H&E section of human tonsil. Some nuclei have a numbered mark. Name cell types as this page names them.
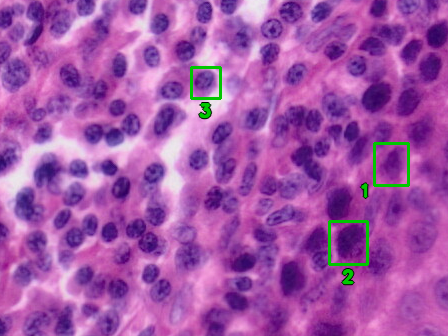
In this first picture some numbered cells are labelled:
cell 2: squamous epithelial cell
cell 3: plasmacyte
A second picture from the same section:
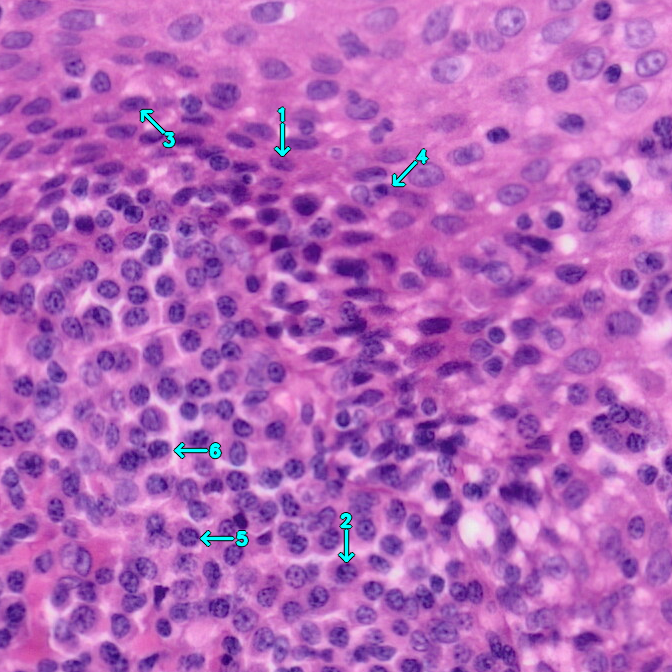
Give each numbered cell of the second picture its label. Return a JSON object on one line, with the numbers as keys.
{"1": "squamous epithelial cell", "2": "plasmacyte", "3": "squamous epithelial cell", "4": "squamous epithelial cell", "5": "plasmacyte", "6": "plasmacyte"}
